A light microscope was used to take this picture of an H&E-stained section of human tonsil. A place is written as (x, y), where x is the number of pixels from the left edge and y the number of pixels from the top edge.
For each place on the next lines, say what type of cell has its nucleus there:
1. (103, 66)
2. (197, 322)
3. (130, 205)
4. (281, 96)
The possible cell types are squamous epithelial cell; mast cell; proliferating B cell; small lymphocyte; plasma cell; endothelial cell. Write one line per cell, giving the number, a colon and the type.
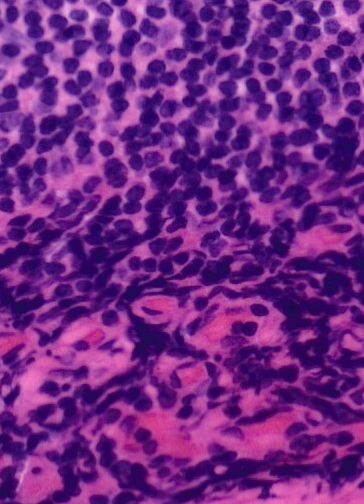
1: small lymphocyte
2: endothelial cell
3: small lymphocyte
4: small lymphocyte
